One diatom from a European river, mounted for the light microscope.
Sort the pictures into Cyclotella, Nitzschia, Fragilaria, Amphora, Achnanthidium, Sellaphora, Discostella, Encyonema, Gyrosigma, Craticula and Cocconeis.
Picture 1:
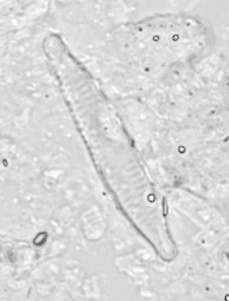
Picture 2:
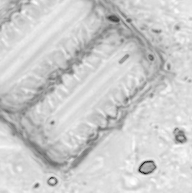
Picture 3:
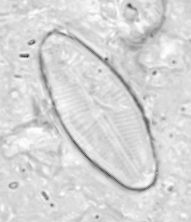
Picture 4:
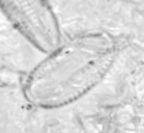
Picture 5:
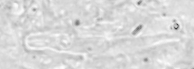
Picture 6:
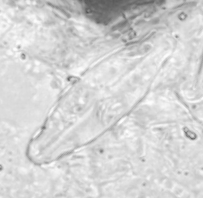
Fragilaria: 1
Cyclotella: 2
Sellaphora: 3, 6
Amphora: 4
Achnanthidium: 5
